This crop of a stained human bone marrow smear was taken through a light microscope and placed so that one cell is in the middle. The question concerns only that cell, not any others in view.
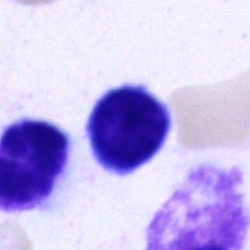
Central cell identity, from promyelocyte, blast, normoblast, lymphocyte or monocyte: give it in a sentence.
By type, the central cell of the crop is a lymphocyte.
